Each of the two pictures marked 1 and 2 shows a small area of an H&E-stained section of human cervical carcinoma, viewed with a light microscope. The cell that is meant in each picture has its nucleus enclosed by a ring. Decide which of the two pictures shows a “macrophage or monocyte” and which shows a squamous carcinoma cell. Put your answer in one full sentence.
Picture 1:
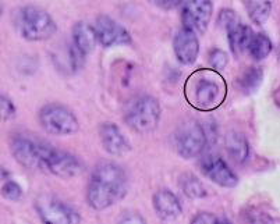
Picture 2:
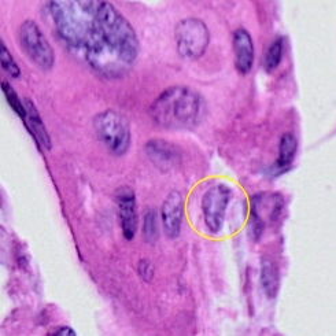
Picture 1 shows a squamous carcinoma cell and picture 2 shows a “macrophage or monocyte”.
